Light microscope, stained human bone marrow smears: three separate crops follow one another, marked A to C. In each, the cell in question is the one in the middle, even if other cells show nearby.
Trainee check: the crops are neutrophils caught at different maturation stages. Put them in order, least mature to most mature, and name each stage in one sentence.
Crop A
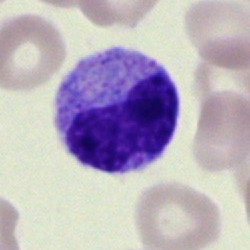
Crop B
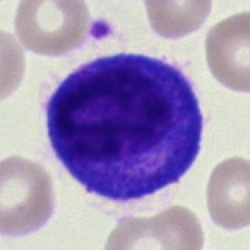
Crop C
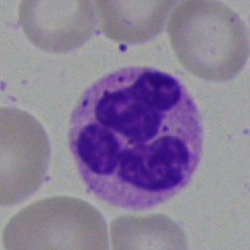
From least to most mature, the sequence is given by crop B (a promyelocyte), crop A (a metamyelocyte) and crop C (a segmented neutrophil).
